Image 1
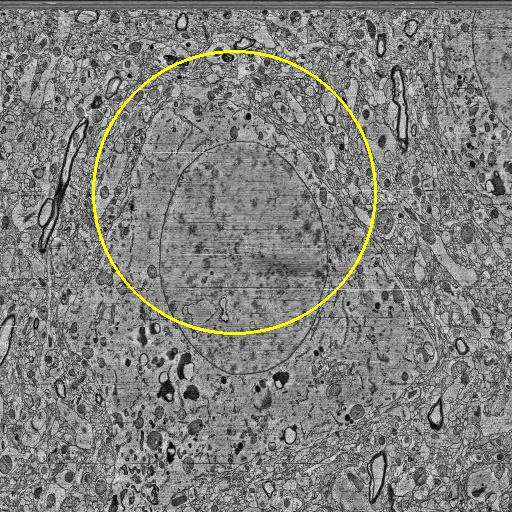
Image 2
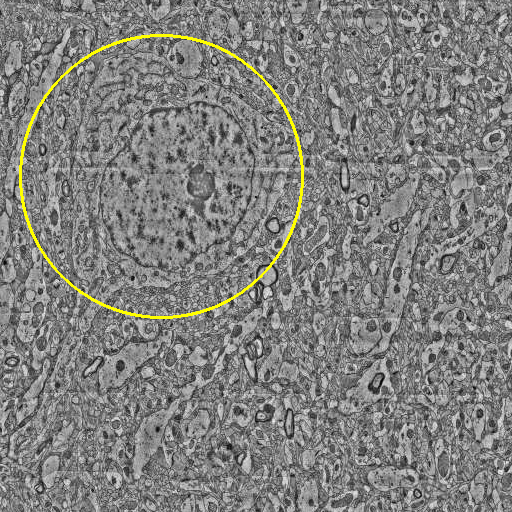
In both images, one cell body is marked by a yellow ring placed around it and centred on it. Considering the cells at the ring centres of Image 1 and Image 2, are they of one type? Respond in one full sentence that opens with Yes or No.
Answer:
No, two types apply to the ring-centred cells of Image 1 and Image 2.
